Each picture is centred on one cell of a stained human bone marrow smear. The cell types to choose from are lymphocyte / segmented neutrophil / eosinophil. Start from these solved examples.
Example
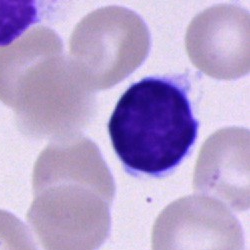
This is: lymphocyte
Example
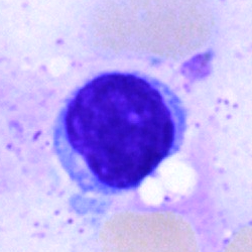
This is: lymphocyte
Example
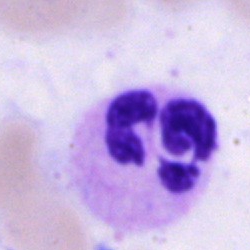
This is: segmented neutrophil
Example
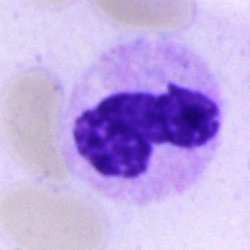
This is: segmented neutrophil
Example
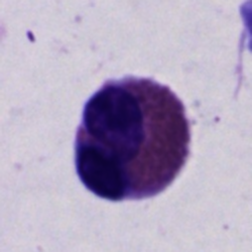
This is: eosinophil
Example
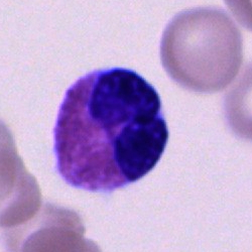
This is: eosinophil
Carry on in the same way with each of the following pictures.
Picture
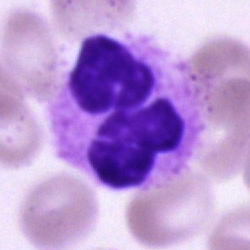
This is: segmented neutrophil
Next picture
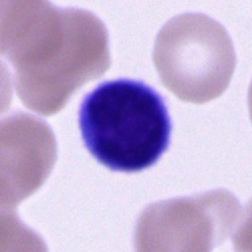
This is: lymphocyte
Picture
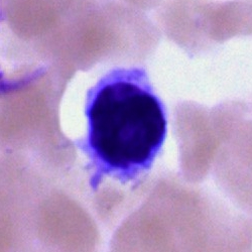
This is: lymphocyte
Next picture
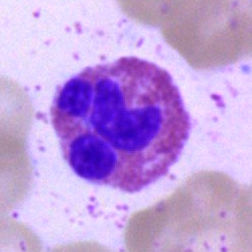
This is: eosinophil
